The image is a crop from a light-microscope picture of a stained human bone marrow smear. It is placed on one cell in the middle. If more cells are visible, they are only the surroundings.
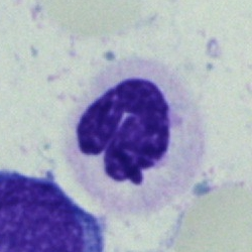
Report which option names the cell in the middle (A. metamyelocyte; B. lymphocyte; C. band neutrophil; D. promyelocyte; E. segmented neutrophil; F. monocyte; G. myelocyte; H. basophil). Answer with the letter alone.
E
